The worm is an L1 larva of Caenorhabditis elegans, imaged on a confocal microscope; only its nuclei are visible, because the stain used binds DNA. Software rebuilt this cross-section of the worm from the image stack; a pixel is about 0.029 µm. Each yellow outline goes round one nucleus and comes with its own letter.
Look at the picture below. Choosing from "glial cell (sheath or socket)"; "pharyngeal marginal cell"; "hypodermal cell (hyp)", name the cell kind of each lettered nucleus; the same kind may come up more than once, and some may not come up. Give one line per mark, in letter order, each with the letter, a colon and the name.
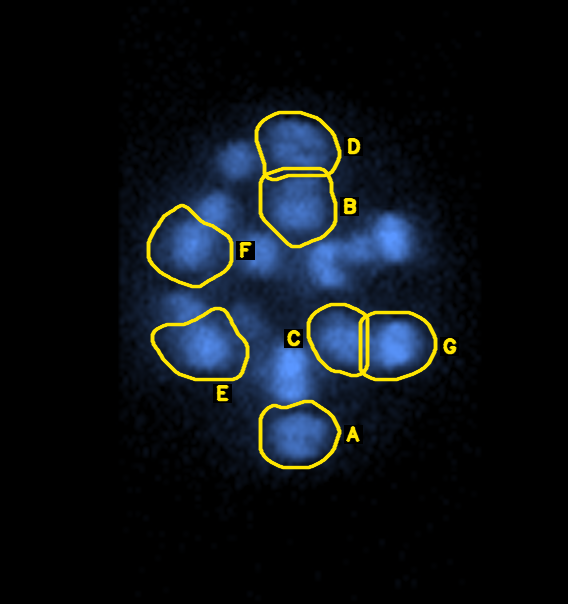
A: hypodermal cell (hyp)
B: pharyngeal marginal cell
C: pharyngeal marginal cell
D: hypodermal cell (hyp)
E: glial cell (sheath or socket)
F: glial cell (sheath or socket)
G: glial cell (sheath or socket)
